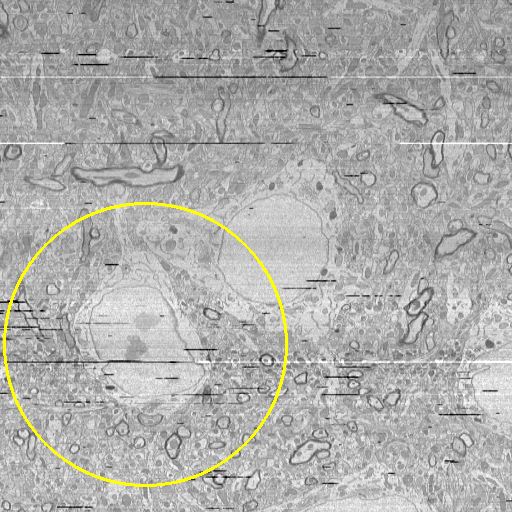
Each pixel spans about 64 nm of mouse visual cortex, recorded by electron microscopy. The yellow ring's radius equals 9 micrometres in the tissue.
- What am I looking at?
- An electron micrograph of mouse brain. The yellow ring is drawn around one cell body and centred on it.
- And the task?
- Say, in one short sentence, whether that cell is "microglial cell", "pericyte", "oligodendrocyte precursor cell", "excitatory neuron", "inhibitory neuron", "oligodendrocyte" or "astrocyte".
The cell in the middle of the ring is an excitatory neuron.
